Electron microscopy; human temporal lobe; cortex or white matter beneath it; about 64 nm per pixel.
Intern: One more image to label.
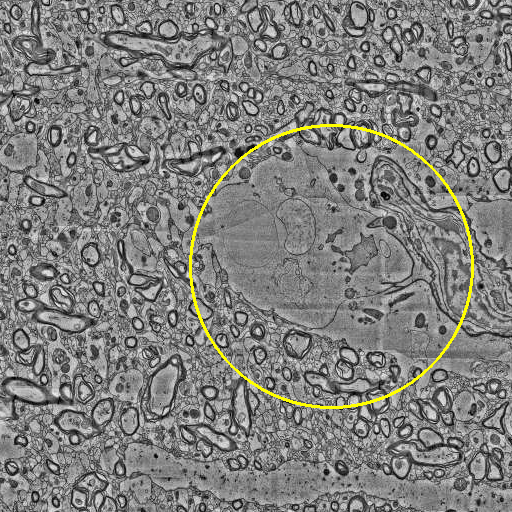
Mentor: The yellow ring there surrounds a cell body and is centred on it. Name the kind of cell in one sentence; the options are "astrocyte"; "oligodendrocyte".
The ring marks the cell body of an oligodendrocyte.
